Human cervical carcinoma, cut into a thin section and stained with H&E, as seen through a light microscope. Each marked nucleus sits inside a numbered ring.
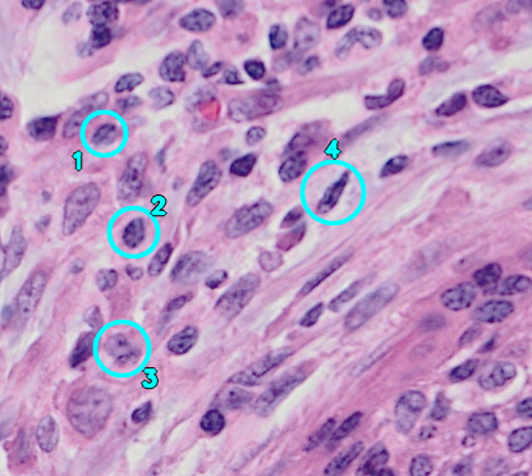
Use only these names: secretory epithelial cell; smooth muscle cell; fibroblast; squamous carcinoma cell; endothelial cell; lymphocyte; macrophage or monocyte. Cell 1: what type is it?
lymphocyte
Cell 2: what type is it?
lymphocyte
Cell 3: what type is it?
macrophage or monocyte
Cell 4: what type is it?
lymphocyte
